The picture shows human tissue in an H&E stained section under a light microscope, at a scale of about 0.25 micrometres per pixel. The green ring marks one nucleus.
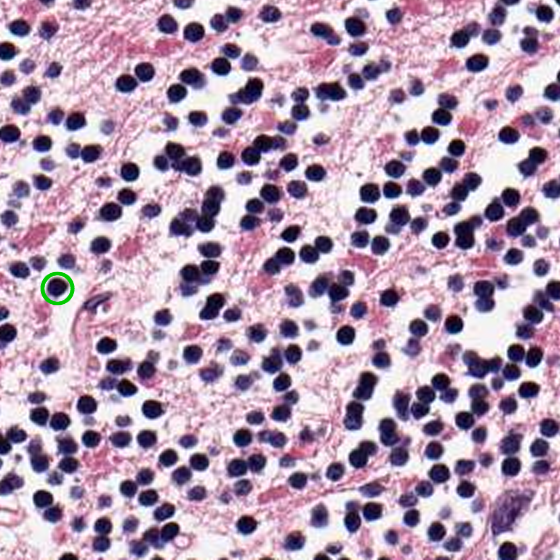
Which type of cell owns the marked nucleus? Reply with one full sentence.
The marked nucleus lies within a cerebellar granule cell.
